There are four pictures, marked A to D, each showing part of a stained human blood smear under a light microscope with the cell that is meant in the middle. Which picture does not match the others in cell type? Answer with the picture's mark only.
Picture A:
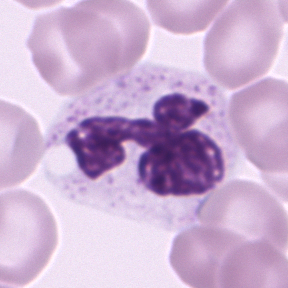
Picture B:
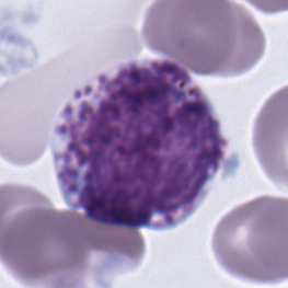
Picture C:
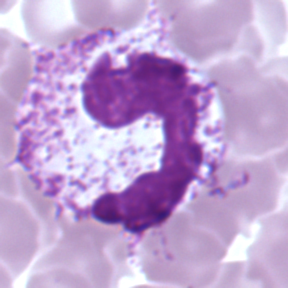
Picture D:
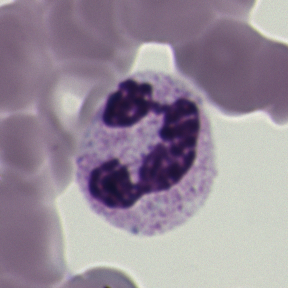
B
